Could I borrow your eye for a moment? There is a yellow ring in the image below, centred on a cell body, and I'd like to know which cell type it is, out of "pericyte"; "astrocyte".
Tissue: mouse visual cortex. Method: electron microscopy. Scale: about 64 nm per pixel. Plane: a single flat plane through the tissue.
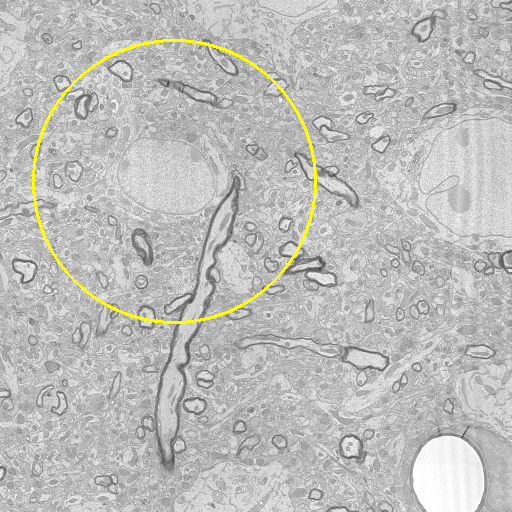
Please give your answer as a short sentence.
The cell body at the centre is that of an astrocyte.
